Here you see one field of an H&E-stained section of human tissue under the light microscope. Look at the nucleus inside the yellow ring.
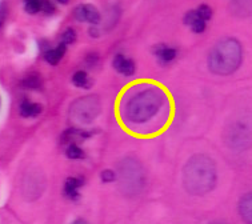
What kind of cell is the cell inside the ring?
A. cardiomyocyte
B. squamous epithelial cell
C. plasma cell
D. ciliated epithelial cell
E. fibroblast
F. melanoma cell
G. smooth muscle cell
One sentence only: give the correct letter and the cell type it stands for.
In short, option B: the cell inside the ring is a squamous epithelial cell.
